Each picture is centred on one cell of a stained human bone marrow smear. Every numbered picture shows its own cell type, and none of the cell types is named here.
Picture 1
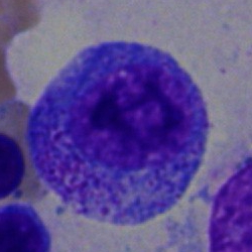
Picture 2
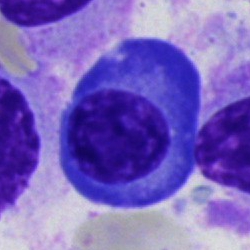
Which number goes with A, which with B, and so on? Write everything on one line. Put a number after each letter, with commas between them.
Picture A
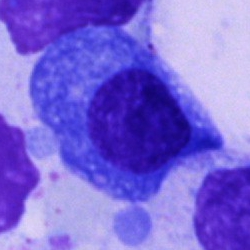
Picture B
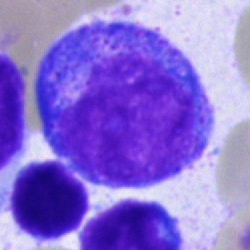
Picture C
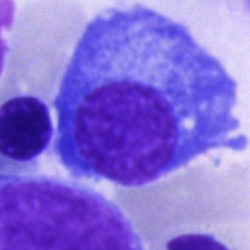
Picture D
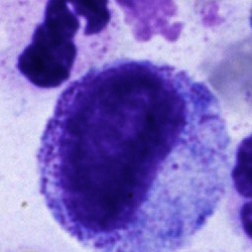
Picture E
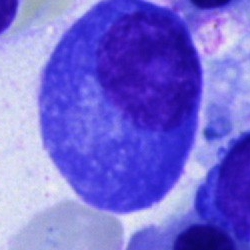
A 2, B 1, C 2, D 1, E 2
